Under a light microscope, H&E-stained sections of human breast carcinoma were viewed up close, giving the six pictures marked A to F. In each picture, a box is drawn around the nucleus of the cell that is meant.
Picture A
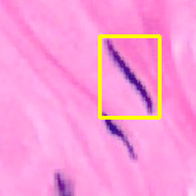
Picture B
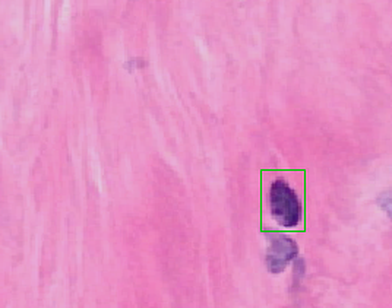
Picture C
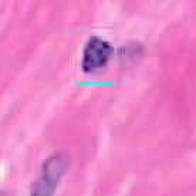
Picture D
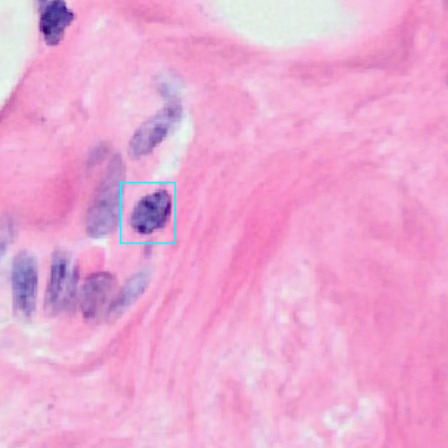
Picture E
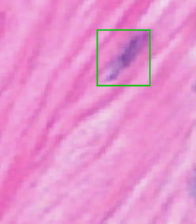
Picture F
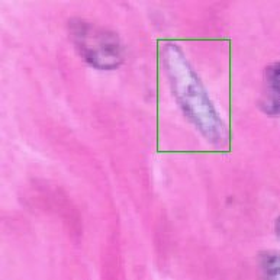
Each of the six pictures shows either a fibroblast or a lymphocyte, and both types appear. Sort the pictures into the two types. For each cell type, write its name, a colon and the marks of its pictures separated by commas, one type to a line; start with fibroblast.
fibroblast: A, E, F
lymphocyte: B, C, D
